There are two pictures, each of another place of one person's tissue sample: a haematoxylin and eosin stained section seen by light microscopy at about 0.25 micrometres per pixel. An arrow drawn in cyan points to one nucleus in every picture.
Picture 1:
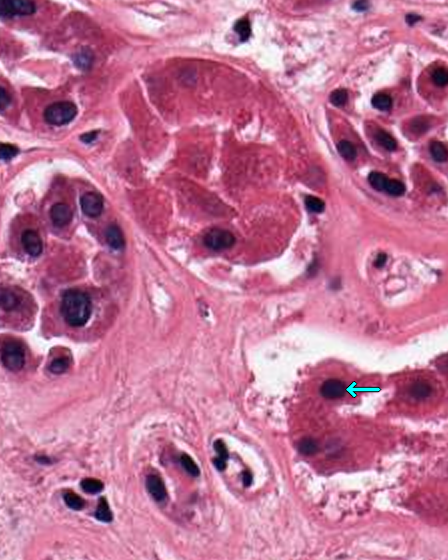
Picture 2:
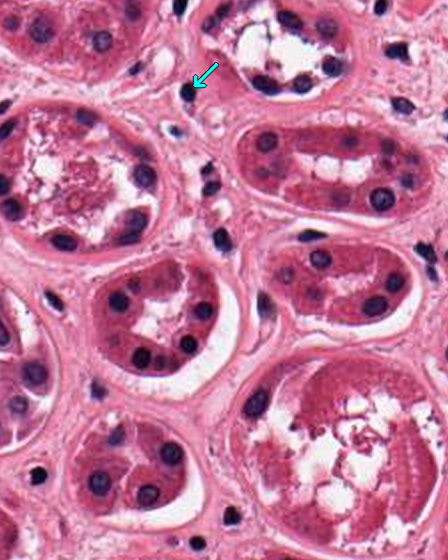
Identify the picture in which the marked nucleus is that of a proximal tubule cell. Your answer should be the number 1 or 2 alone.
1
